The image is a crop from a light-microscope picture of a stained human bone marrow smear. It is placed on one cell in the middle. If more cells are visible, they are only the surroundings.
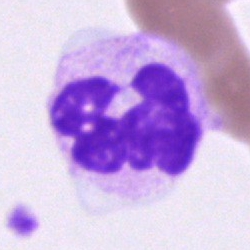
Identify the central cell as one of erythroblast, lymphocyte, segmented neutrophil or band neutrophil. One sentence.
Answering briefly, the cell in the middle is a segmented neutrophil.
